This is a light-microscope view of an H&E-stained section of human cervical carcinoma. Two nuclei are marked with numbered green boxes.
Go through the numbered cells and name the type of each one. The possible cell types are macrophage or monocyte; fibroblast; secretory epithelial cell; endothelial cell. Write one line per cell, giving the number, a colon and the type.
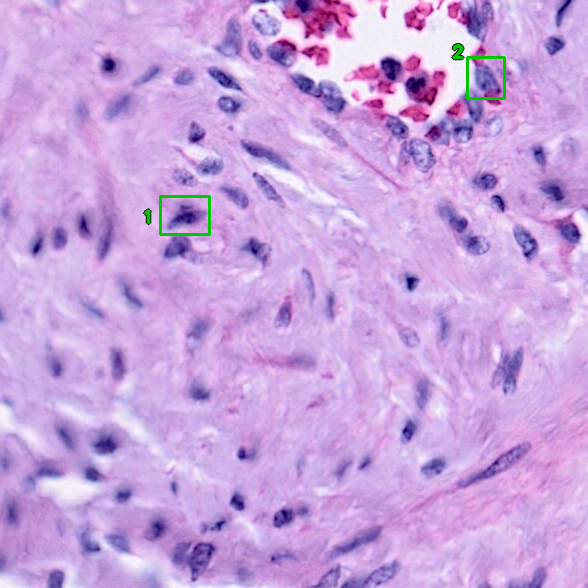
1: fibroblast
2: endothelial cell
